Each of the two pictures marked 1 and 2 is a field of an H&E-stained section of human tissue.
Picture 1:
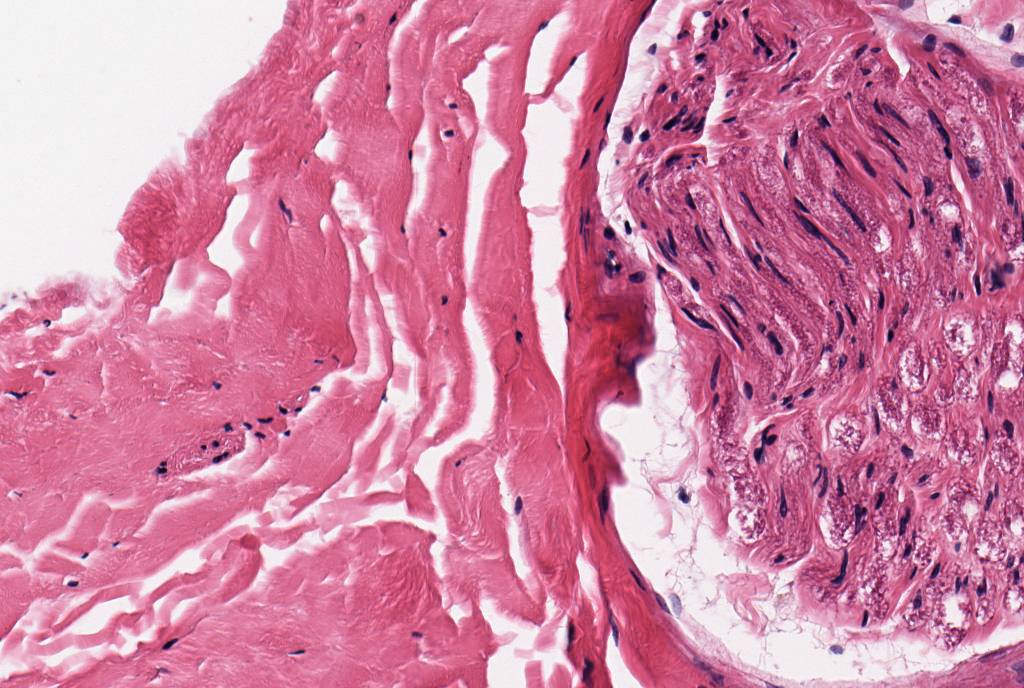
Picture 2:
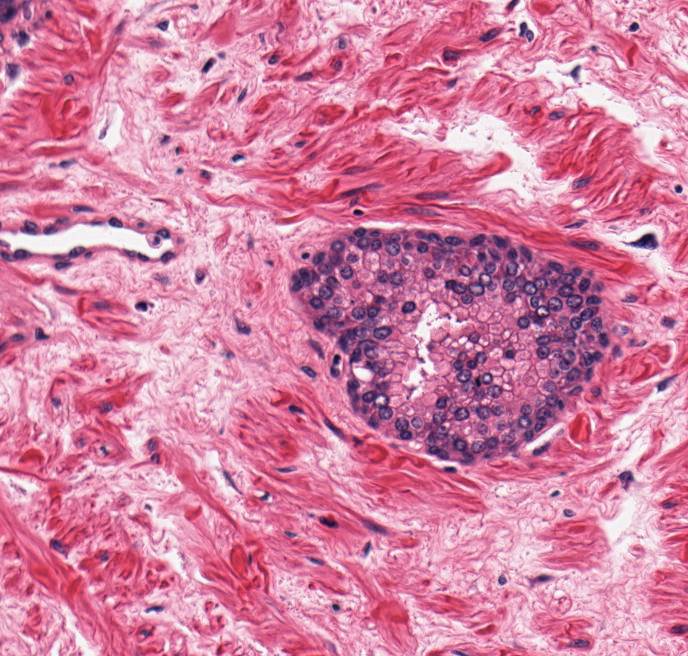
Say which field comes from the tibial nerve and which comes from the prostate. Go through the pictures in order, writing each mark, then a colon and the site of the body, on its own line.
1: tibial nerve
2: prostate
